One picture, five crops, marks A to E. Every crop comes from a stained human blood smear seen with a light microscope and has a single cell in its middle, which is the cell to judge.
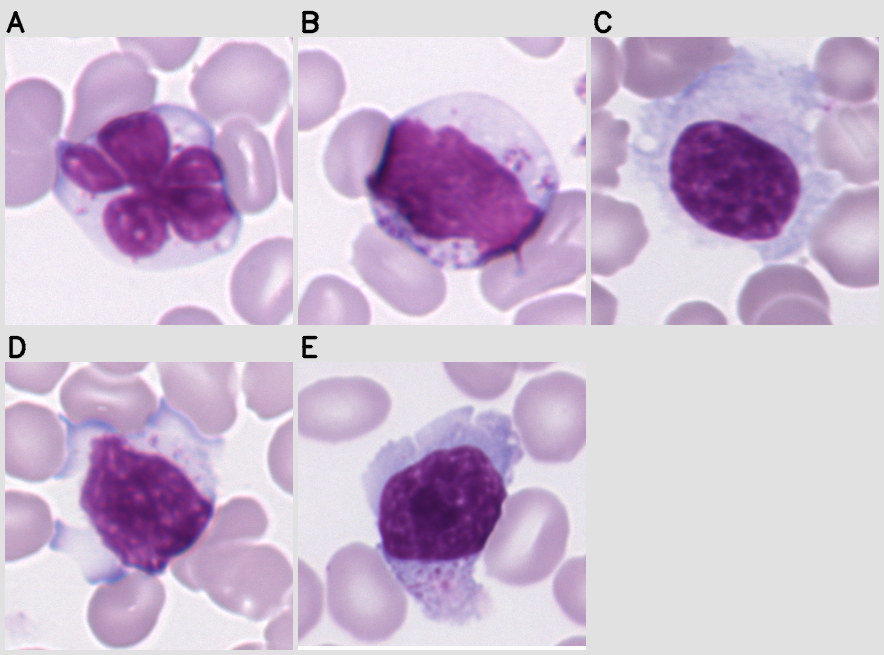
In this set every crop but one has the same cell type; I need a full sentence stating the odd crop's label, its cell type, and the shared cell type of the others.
All the crops show large granular lymphocytes except crop C, which shows a hairy cell.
